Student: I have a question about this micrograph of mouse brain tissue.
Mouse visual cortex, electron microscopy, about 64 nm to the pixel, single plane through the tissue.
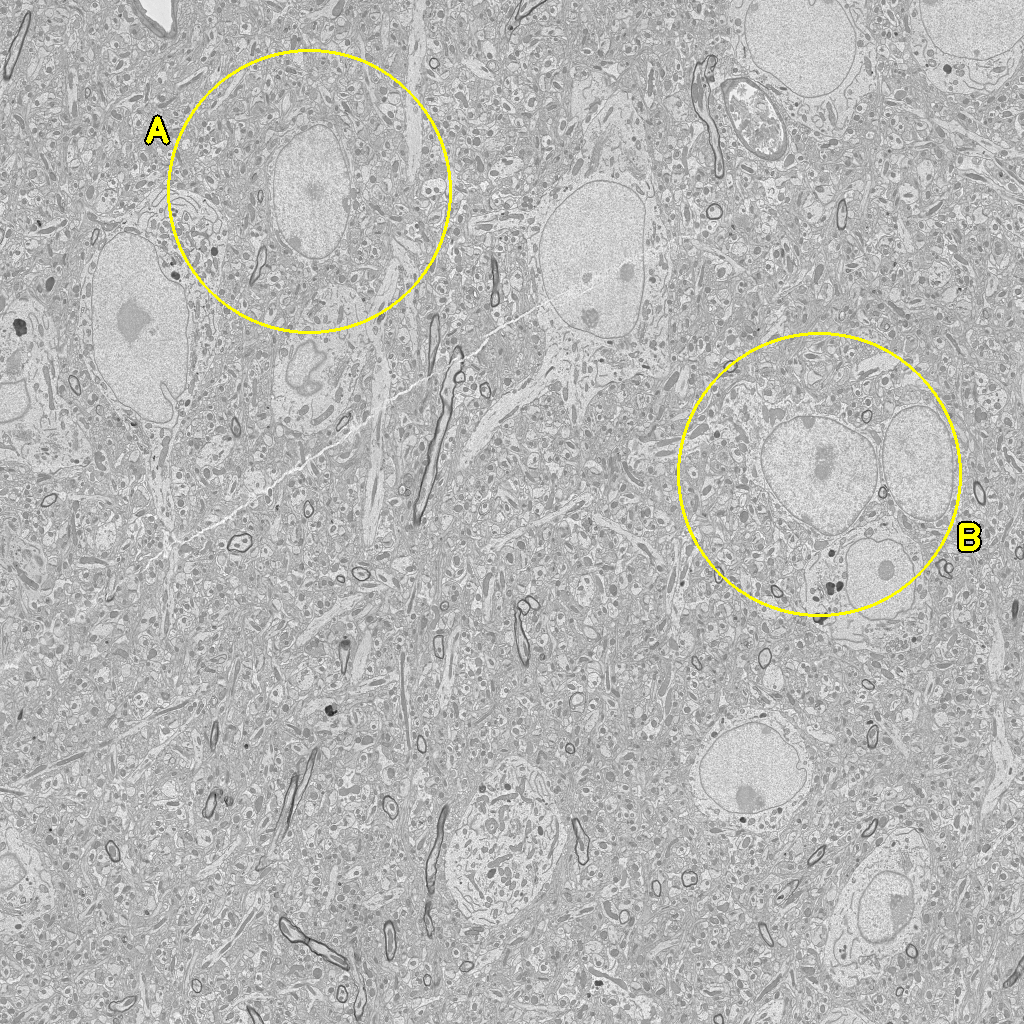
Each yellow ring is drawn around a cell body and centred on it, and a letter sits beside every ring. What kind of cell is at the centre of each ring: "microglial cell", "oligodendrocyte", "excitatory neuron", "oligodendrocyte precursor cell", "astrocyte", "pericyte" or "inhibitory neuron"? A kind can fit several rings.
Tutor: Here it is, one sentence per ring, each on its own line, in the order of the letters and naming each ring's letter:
For ring A, the cell at the centre is an astrocyte.
For ring B, the cell at the centre is an astrocyte.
